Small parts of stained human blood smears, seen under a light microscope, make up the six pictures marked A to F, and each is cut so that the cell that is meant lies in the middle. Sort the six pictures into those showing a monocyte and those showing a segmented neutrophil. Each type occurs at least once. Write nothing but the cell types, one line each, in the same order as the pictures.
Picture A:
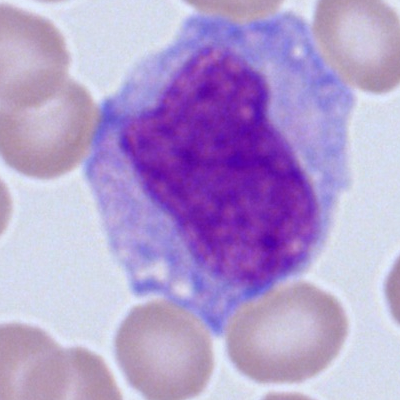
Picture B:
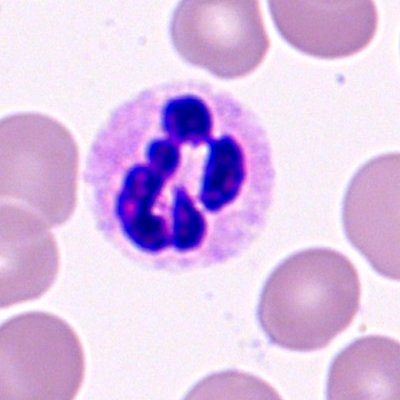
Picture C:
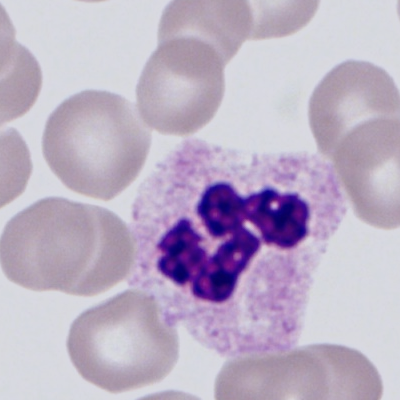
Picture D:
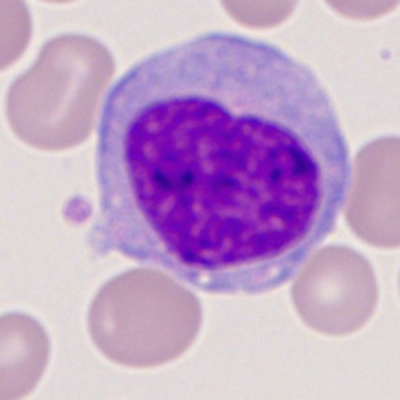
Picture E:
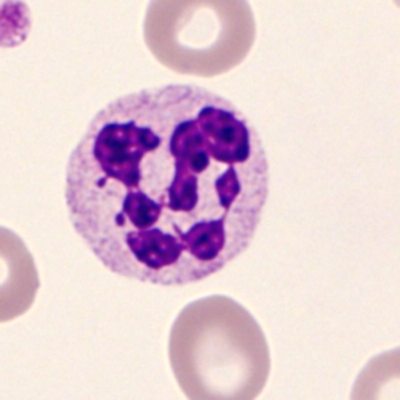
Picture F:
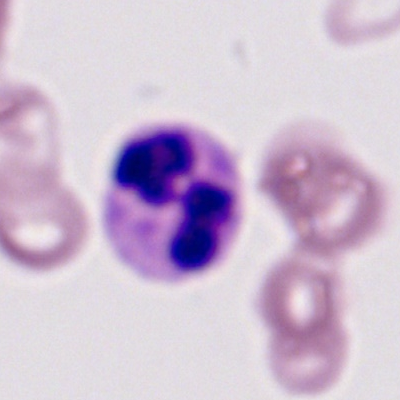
monocyte
segmented neutrophil
segmented neutrophil
monocyte
segmented neutrophil
segmented neutrophil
